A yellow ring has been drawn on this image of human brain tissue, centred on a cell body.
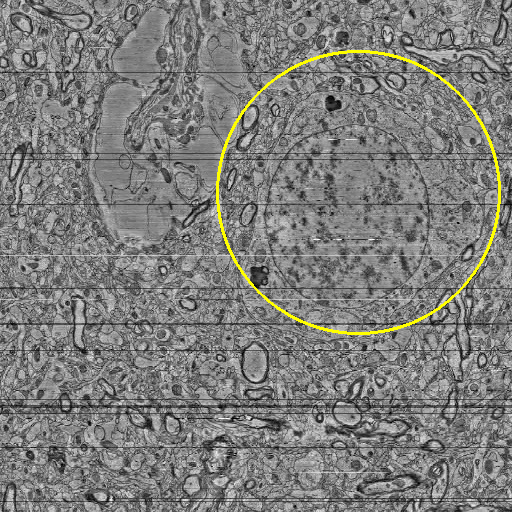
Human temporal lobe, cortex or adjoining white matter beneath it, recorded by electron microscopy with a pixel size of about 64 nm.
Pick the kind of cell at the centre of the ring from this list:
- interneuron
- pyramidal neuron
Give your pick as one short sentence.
The centre of the ring holds a pyramidal neuron.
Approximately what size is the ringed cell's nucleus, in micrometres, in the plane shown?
Approximately 11 micrometres across in this plane.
